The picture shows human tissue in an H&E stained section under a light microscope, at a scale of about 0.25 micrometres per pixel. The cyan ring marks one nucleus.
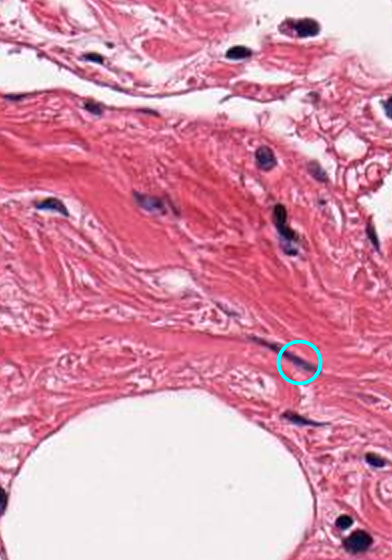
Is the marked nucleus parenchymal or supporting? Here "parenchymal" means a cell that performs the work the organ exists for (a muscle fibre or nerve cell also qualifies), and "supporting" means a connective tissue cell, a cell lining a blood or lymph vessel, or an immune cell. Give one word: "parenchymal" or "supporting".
supporting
